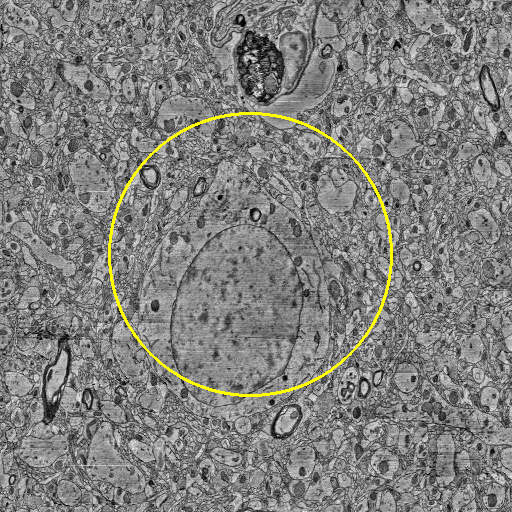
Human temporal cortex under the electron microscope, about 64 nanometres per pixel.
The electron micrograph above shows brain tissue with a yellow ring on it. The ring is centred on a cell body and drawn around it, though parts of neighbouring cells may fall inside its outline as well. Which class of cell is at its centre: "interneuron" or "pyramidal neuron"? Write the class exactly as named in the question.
pyramidal neuron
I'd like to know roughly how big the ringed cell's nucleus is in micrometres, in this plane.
At approximately 13 by 8 micrometres, the nucleus is clearly longer than it is wide in this plane.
